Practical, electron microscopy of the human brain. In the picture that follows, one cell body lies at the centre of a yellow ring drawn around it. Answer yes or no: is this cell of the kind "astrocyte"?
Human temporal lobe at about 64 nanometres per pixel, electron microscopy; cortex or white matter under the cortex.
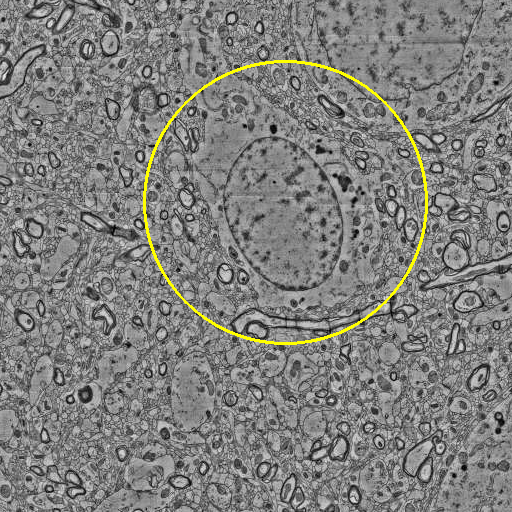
yes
